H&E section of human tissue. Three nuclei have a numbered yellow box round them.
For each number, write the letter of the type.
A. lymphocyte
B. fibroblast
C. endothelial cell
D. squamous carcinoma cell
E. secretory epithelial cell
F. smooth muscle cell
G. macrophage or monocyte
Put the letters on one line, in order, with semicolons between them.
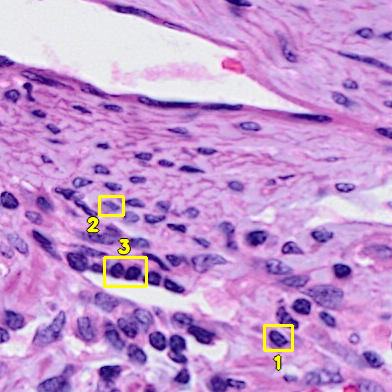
A; B; A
